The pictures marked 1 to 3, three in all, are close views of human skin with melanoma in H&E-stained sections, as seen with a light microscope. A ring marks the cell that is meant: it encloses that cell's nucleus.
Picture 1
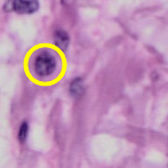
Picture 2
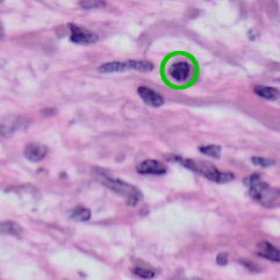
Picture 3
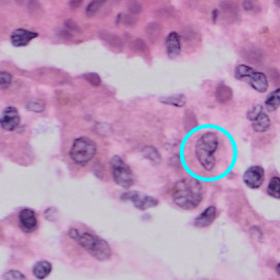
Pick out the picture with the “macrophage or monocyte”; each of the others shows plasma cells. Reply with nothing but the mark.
3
